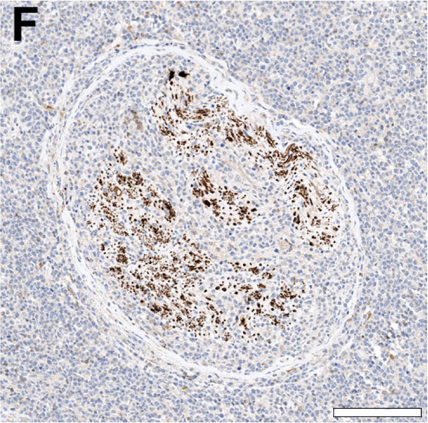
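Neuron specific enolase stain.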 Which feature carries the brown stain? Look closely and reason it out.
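Brown wavy strands lie only inside a round bundle bounded by a thin sheath. The surrounding dense cell sheets are unstained blue-grey.
Conclusion: remaining nerve fibers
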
